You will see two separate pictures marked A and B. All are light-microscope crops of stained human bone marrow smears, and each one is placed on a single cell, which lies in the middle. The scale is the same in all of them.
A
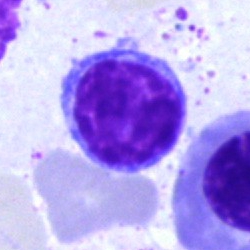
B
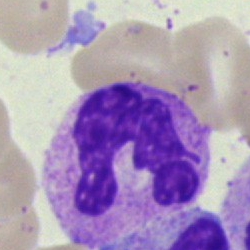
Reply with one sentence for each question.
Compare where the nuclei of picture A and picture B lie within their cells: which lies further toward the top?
It is the nucleus in picture B that lies further toward the top of its cell.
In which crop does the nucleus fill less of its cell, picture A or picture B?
Of the two, the nucleus in picture B leaves more room for cytoplasm.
